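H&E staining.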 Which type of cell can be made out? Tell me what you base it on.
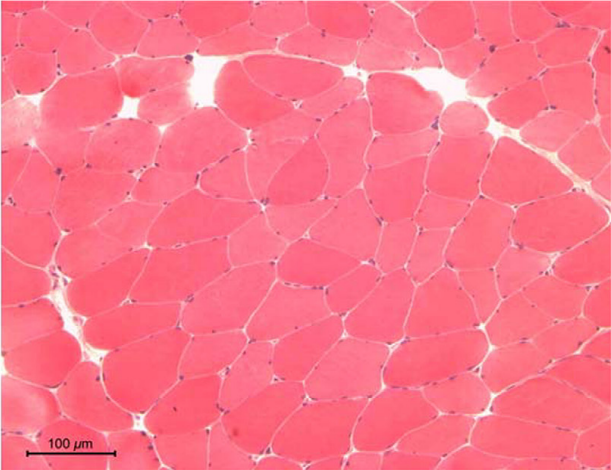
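Nuclei lie at the periphery of each profile. No inflammatory cell infiltrates between the fibers. That points to this answer: myofibers.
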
